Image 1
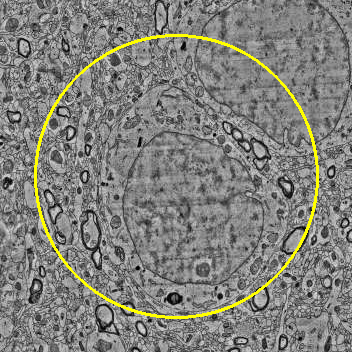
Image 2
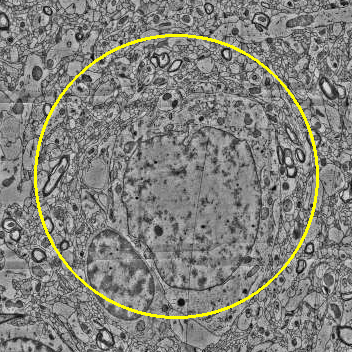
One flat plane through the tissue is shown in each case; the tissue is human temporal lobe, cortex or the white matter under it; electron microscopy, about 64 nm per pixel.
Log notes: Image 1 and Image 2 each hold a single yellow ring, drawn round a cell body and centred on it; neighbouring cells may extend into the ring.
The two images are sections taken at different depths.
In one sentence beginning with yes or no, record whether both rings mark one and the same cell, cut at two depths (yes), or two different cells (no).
No, the yellow rings are placed on two separate cells.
